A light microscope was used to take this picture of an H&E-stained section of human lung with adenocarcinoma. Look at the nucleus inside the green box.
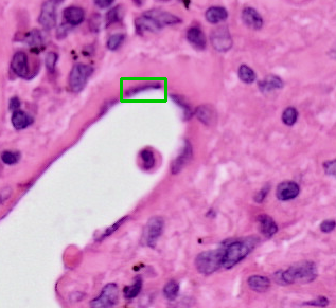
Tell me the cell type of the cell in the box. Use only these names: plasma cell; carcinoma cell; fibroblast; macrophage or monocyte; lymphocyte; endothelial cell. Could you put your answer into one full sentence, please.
The cell type of the cell in the box is that of an endothelial cell.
